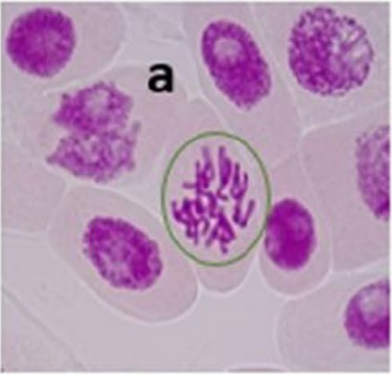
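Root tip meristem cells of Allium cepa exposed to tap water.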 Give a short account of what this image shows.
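Most nuclei are in interphase, with finely granular chromatin. Several cells are in division. One cell, ringed in green, shows discrete, short rod-shaped chromosomes spread apart from one another. Another cell at upper right holds condensed, threadlike chromatin. A cell at left shows a loose, fuzzy mass of chromatin.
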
